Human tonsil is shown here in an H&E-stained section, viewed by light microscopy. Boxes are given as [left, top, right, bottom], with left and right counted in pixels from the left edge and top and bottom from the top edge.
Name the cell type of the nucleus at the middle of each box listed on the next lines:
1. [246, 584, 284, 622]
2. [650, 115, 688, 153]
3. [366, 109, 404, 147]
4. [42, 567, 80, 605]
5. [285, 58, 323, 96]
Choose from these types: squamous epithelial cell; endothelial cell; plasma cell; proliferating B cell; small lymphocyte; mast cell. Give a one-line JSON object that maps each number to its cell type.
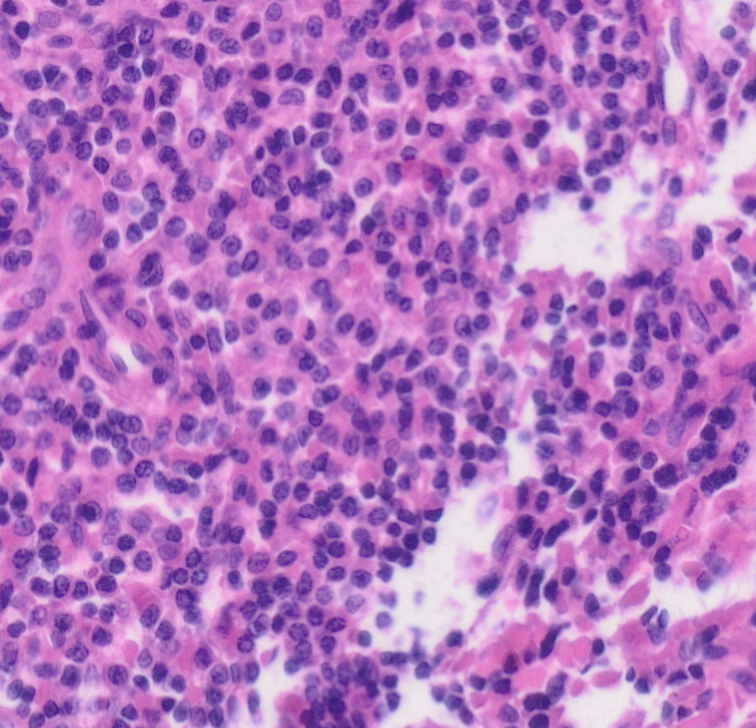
{"1": "small lymphocyte", "2": "endothelial cell", "3": "plasma cell", "4": "plasma cell", "5": "plasma cell"}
